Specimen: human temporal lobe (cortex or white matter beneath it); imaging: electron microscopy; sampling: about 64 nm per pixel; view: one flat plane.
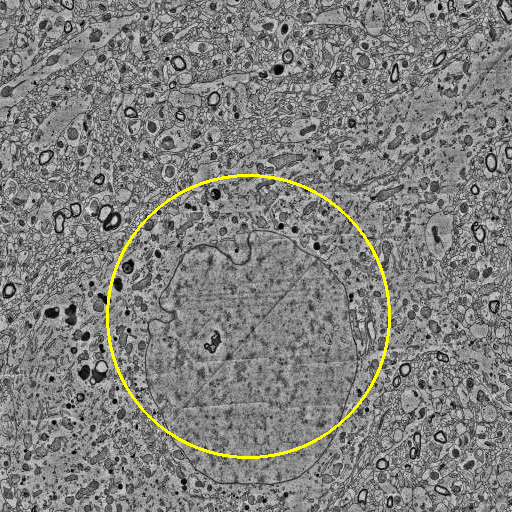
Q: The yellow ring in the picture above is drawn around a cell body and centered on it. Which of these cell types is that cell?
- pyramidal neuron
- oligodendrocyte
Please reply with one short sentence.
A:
The cell body at the ring's center belongs to a pyramidal neuron.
